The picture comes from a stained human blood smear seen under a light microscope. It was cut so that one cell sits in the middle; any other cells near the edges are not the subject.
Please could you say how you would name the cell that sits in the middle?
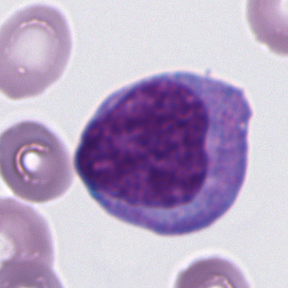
atypical promyelocyte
